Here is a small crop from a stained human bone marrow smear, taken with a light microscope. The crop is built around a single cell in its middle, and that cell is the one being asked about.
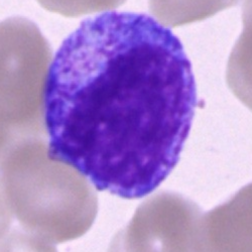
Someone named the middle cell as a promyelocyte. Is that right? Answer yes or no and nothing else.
yes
